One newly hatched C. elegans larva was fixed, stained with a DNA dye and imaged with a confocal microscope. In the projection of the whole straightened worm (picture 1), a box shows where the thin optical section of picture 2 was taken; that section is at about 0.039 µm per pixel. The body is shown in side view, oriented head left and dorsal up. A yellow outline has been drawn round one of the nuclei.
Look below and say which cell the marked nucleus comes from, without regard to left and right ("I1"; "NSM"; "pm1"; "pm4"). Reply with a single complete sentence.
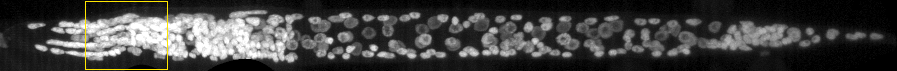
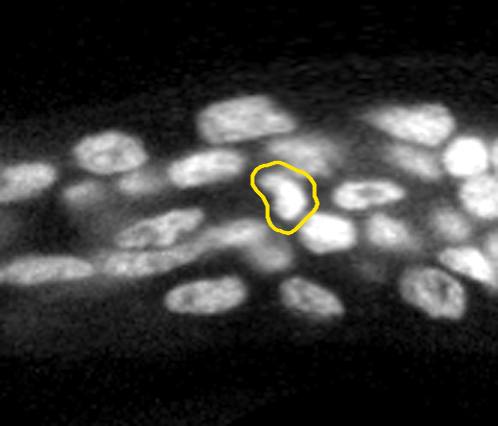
The marked cell is pm1, a pharyngeal muscle cell.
